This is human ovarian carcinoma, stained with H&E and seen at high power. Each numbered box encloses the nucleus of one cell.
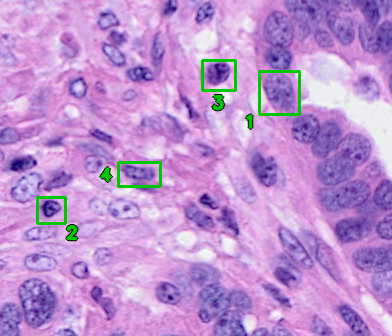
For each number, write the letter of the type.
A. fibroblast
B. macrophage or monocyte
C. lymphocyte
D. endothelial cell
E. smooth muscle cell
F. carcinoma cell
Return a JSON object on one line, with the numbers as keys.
{"1": "F", "2": "C", "3": "C", "4": "B"}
